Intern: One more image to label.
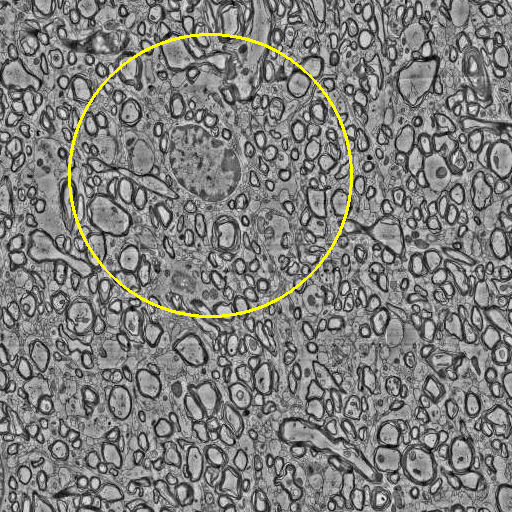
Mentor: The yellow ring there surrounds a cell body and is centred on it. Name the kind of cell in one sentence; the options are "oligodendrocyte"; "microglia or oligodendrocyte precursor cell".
The ring marks the cell body of a microglial cell or oligodendrocyte precursor cell.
